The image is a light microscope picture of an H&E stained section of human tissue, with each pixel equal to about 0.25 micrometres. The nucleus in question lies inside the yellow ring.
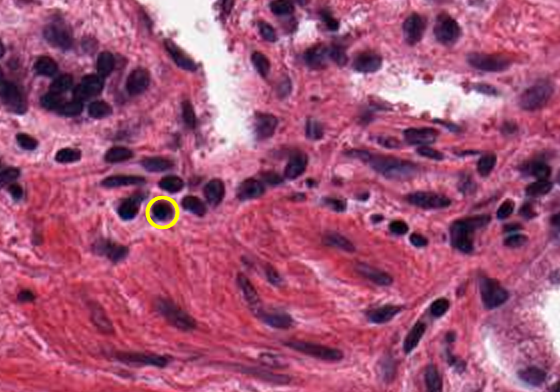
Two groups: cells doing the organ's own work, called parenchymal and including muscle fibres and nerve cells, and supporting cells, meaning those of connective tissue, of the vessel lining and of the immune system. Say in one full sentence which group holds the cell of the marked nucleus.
The marked nucleus is found in a supporting cell.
